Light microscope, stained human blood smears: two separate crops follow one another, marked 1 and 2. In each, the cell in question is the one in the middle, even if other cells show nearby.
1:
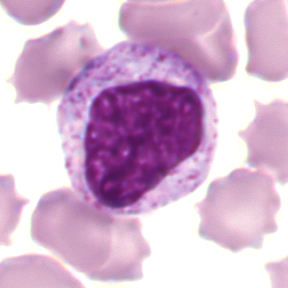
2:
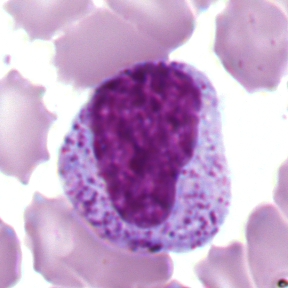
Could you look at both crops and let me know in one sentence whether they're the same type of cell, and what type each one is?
No, a metamyelocyte is the subject of crop 1, and a myelocyte is the subject of crop 2.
